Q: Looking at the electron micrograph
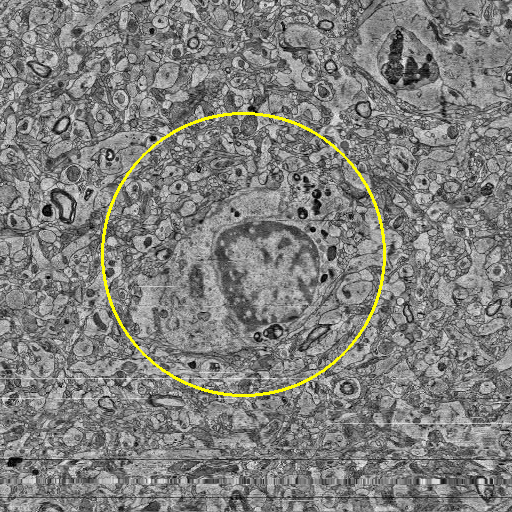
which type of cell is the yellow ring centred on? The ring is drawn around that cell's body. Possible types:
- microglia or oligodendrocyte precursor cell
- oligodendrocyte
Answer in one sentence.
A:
The yellow ring is centred on a microglial cell or oligodendrocyte precursor cell.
